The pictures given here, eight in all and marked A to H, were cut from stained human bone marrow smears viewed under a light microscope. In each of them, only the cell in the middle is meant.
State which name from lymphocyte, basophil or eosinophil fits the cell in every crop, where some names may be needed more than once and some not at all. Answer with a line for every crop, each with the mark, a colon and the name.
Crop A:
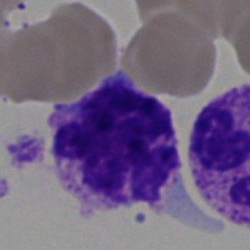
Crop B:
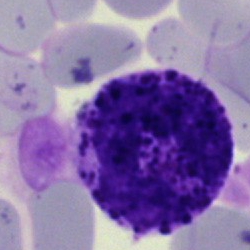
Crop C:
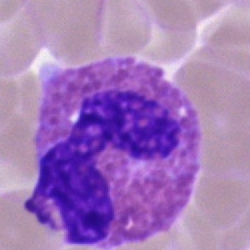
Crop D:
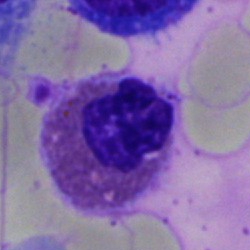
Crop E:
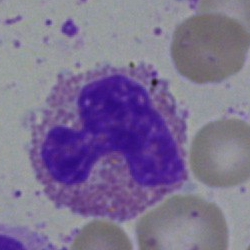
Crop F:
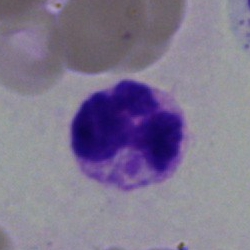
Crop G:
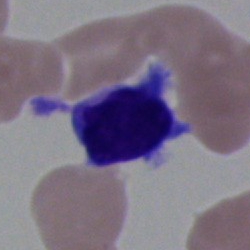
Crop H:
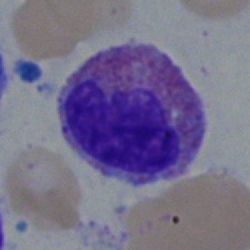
A: basophil
B: basophil
C: eosinophil
D: eosinophil
E: eosinophil
F: basophil
G: lymphocyte
H: eosinophil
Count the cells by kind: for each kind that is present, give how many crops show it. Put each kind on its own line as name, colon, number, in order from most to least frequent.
eosinophil: 4
basophil: 3
lymphocyte: 1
